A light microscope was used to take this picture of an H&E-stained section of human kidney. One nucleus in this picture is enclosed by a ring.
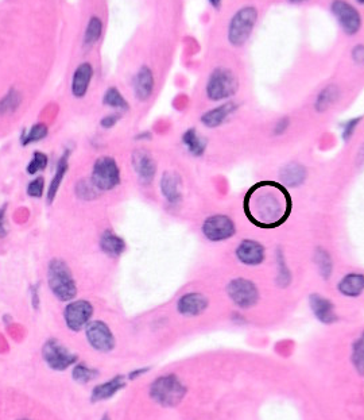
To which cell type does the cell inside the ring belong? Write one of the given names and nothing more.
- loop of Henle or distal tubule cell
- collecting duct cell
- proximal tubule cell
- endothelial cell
collecting duct cell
